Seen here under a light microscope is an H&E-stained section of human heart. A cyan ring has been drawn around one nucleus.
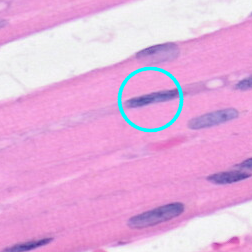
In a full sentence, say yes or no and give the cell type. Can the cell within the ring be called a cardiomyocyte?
No, on this slide the cell within the ring is an endothelial cell, not a cardiomyocyte.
